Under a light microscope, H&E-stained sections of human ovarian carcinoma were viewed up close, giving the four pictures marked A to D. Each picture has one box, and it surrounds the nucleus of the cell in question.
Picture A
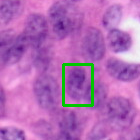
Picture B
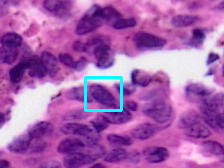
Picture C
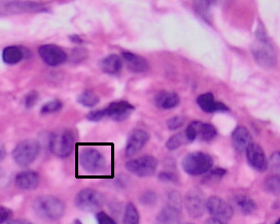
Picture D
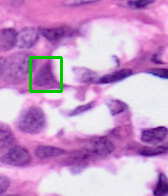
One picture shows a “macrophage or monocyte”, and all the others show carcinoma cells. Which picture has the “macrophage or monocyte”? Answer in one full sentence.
Picture C is the one that shows the “macrophage or monocyte”.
